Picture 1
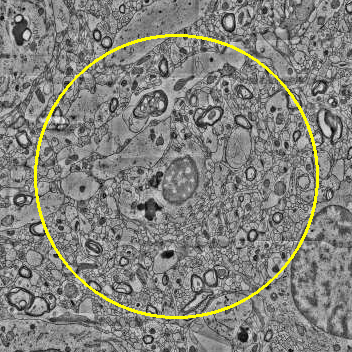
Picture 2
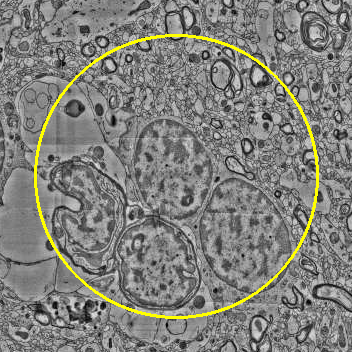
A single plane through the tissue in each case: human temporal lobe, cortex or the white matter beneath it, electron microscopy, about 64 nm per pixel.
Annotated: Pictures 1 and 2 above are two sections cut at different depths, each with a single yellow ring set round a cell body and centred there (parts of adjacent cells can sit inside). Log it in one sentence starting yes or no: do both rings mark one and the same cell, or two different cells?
No, the two rings are not on the same cell.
